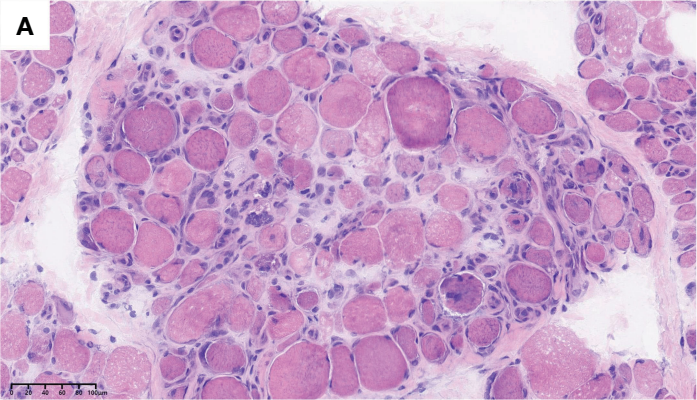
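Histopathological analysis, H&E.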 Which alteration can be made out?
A: heterogeneous sizes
